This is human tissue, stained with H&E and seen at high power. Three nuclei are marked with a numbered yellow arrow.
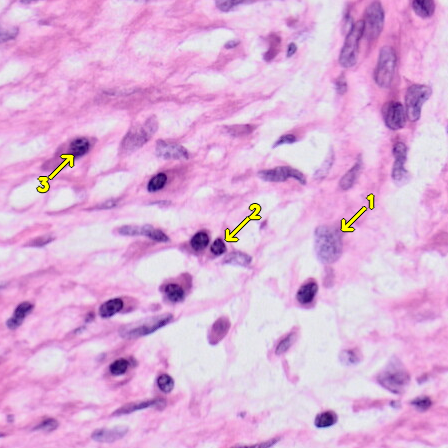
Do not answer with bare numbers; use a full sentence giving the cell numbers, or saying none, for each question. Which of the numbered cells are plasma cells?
In this section, the cells labelled 2 and 3 are plasma cells.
